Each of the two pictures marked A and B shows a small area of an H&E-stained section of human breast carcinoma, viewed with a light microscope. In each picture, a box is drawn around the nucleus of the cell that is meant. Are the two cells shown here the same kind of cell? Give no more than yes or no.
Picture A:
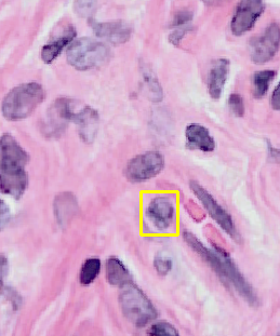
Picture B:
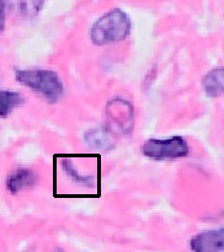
no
